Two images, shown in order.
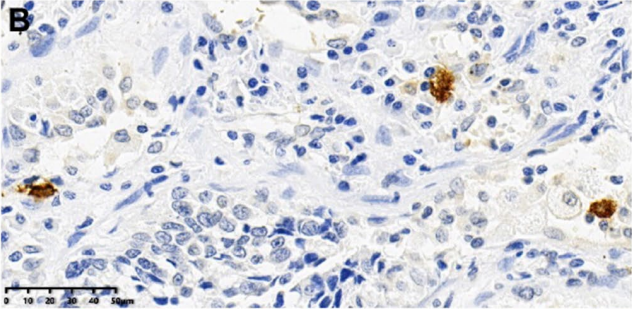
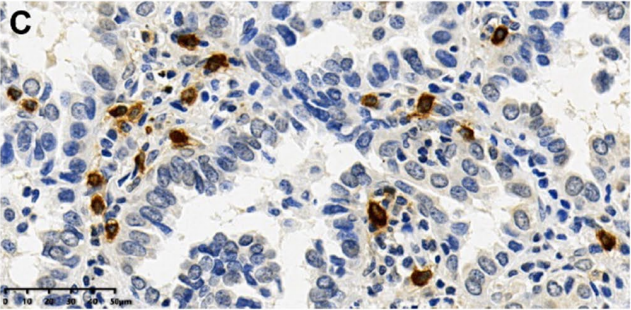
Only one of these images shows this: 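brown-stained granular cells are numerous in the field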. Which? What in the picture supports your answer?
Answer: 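Second image: many brown granular cells scattered through the field. First image: only about three brown granular cells in the field. On this evidence: the second image.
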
